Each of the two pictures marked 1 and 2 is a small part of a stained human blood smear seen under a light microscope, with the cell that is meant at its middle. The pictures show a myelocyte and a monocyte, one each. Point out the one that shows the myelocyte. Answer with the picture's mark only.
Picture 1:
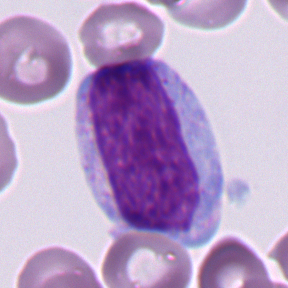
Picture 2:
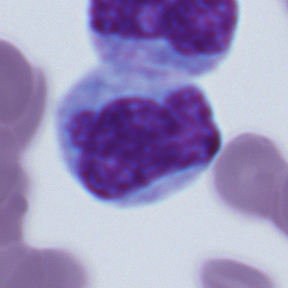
1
